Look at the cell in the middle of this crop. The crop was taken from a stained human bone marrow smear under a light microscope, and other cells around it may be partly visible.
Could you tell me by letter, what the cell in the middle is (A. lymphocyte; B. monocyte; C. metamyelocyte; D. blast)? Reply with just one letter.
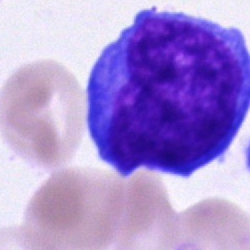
D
